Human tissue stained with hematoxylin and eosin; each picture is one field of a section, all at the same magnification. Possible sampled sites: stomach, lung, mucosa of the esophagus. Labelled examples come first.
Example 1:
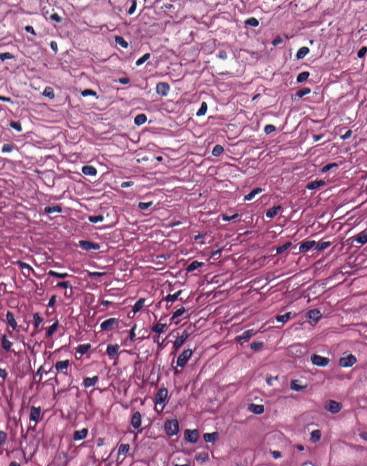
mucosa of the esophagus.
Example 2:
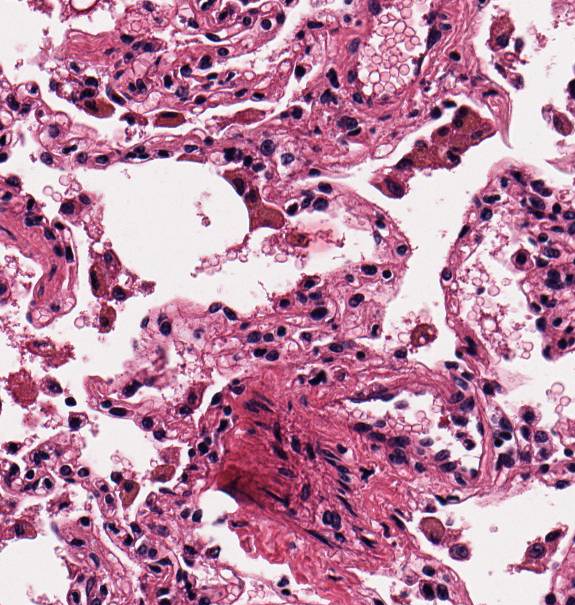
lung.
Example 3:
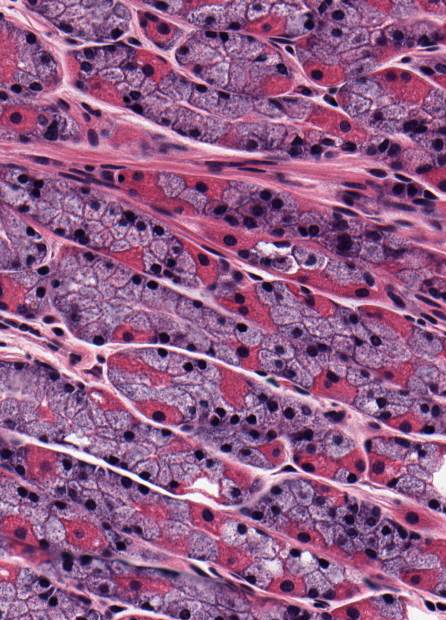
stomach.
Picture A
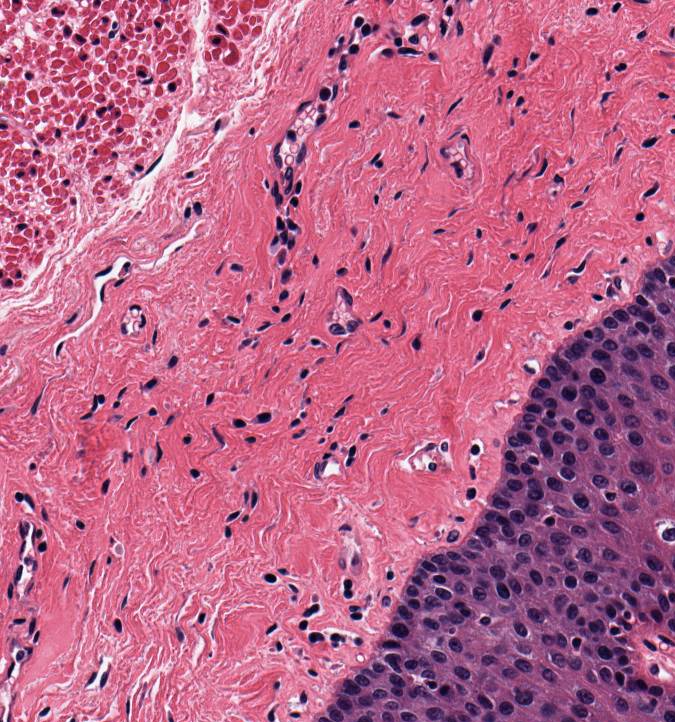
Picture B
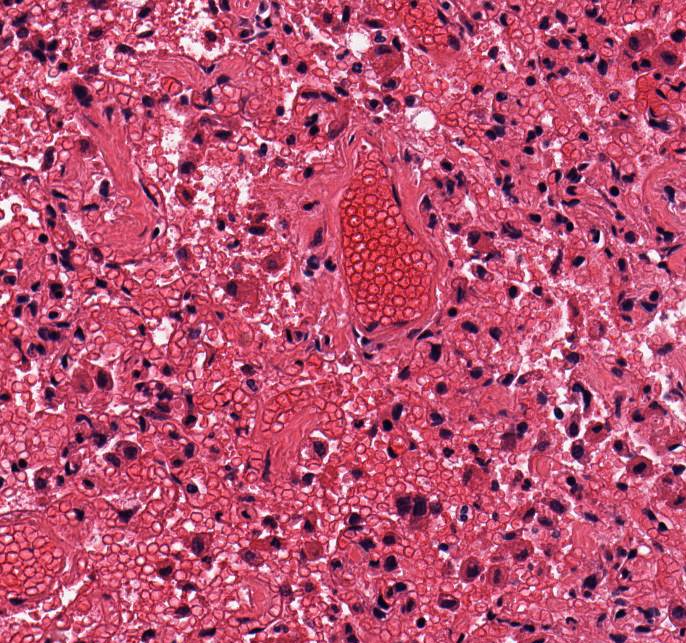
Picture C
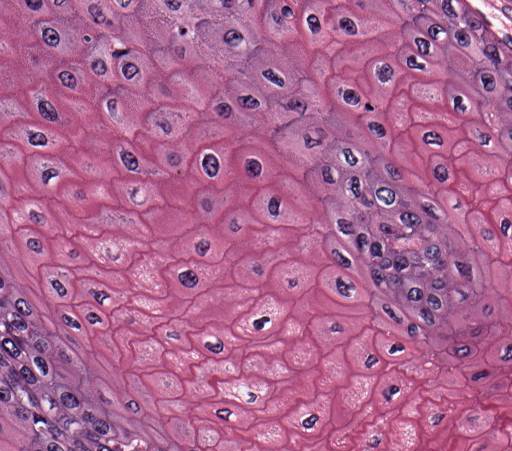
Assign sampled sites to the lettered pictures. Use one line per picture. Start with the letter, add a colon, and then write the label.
A: mucosa of the esophagus.
B: lung.
C: mucosa of the esophagus.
